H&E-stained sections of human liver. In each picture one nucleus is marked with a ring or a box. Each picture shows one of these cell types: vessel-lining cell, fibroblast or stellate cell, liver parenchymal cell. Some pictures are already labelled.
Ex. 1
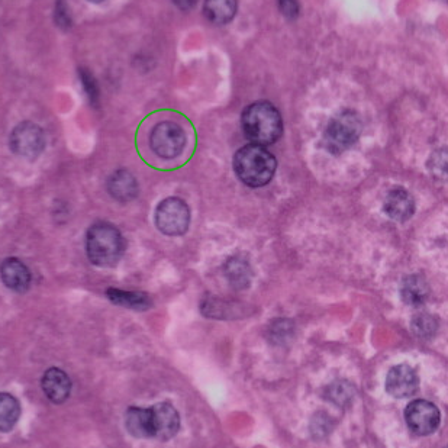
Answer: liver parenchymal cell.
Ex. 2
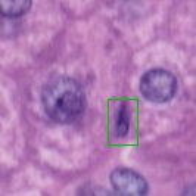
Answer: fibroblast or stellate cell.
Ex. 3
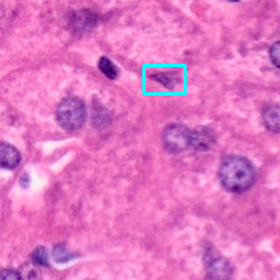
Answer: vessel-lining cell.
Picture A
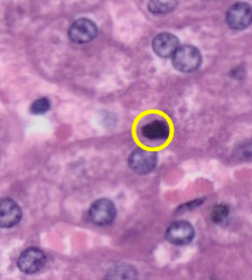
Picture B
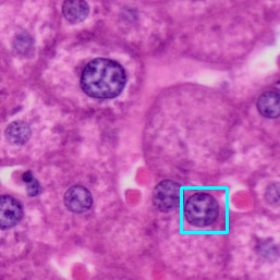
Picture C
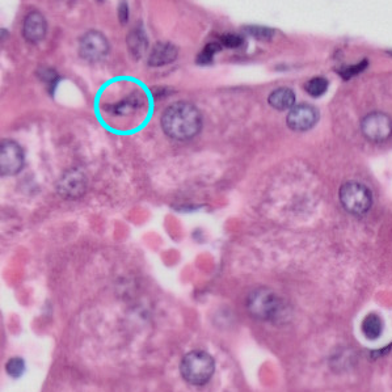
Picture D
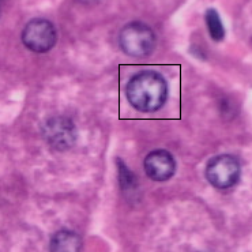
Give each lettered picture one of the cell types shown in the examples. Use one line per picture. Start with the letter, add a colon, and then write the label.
A: fibroblast or stellate cell.
B: liver parenchymal cell.
C: fibroblast or stellate cell.
D: liver parenchymal cell.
